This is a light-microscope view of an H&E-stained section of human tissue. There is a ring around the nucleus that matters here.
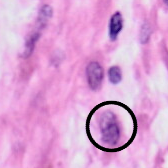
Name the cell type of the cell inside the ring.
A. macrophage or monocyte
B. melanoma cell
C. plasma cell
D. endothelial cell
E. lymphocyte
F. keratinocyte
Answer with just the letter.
A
